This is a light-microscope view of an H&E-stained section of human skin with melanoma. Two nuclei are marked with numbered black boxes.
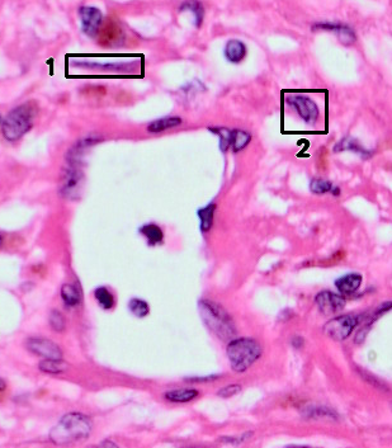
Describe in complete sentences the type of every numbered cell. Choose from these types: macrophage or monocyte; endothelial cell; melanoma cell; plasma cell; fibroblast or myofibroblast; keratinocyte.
Cell 1 is a fibroblast or myofibroblast. Cell 2 is a macrophage or monocyte.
